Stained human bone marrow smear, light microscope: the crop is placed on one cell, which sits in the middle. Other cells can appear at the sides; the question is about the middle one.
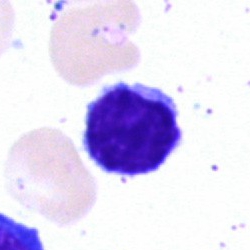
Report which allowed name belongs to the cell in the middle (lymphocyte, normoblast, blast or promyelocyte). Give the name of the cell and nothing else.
lymphocyte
